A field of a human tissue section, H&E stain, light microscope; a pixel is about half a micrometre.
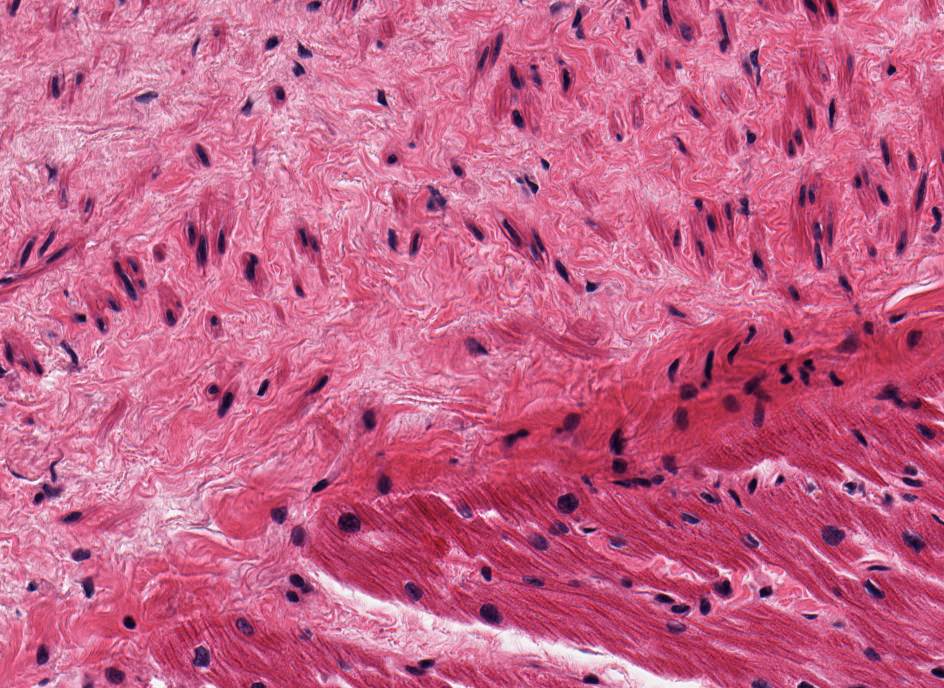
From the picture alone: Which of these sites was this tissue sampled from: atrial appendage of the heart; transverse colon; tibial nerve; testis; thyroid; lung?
atrial appendage of the heart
